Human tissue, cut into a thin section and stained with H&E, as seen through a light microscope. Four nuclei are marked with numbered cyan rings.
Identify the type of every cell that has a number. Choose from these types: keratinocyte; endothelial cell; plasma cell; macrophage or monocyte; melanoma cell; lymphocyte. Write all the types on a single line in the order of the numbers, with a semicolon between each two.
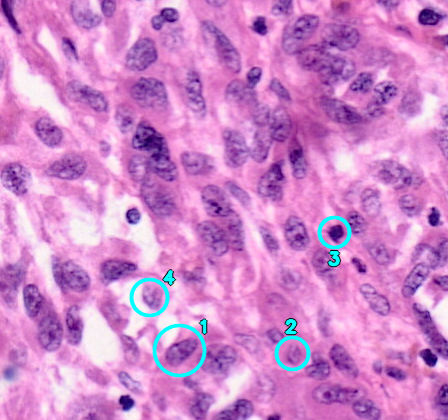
melanoma cell; melanoma cell; lymphocyte; melanoma cell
